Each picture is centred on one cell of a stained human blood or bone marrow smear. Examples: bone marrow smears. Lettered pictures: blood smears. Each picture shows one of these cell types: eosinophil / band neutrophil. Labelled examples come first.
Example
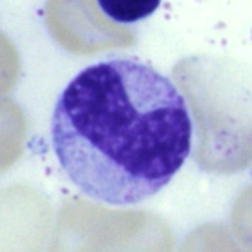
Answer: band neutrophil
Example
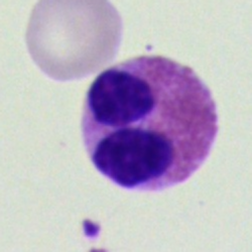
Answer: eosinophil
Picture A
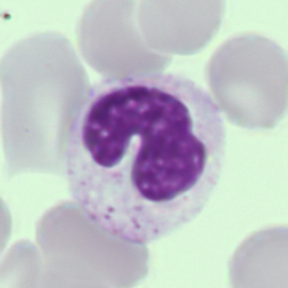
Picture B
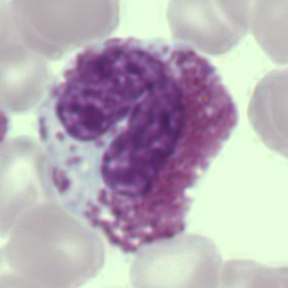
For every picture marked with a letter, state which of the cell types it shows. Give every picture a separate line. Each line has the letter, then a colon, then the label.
A: band neutrophil
B: eosinophil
